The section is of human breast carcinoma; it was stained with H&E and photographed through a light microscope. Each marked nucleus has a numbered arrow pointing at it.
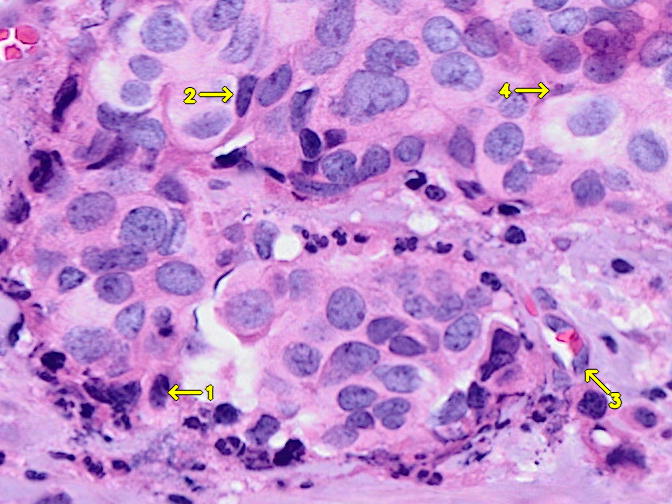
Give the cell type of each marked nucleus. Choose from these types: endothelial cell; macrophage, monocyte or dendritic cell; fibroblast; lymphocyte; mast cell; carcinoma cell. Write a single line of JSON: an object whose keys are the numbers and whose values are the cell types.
{"1": "carcinoma cell", "2": "carcinoma cell", "3": "endothelial cell", "4": "carcinoma cell"}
